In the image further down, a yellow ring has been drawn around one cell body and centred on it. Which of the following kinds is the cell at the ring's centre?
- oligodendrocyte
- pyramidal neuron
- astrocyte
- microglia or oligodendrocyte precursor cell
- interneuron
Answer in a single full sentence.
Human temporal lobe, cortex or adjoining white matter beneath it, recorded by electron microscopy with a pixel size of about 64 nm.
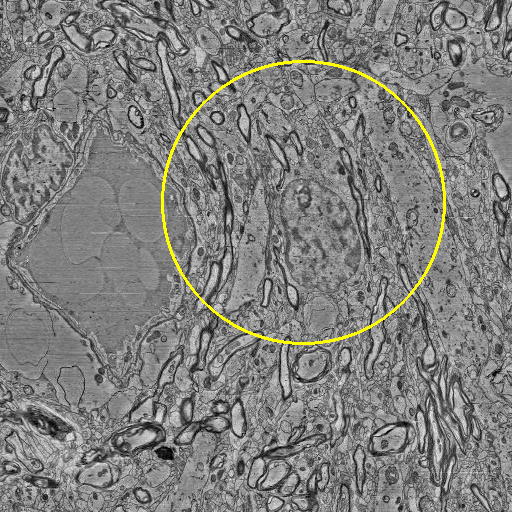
In the picture, the cell sitting at the centre of the yellow ring is an oligodendrocyte.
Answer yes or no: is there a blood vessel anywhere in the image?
Yes, a blood vessel can be seen.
